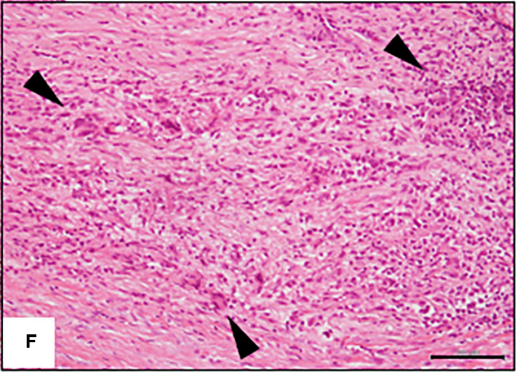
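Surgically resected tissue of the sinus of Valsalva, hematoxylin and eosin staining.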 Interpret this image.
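This is an inflamed vessel wall in which a dense infiltrate of small cells with dark purple nuclei lies within pink fibrous tissue. Scattered among them are giant cells, large cells with abundant pink cytoplasm that appear to hold several nuclei. The normal orderly layering of the wall is not evident in this field.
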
